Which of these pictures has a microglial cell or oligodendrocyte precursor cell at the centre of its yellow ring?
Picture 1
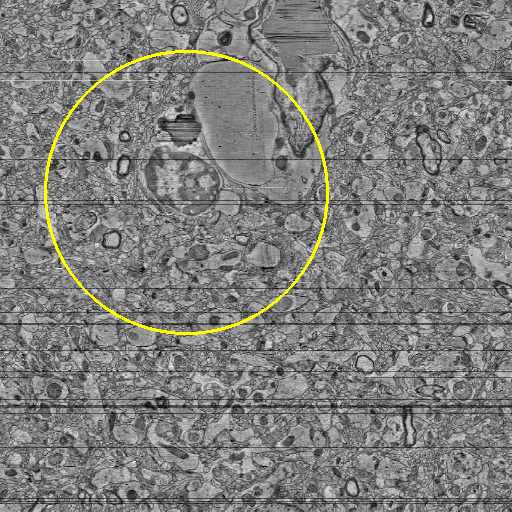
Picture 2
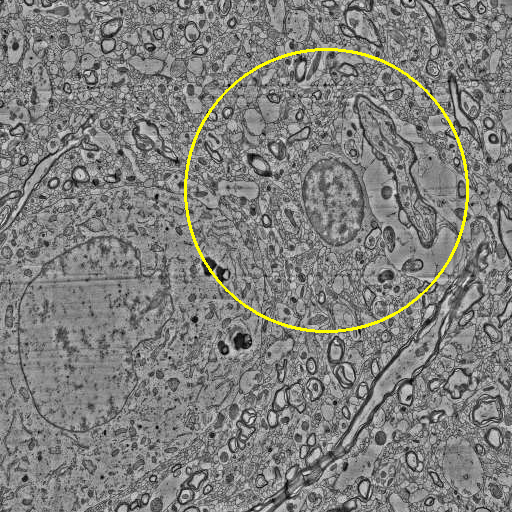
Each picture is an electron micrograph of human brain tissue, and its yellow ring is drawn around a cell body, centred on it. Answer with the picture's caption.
Picture 1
